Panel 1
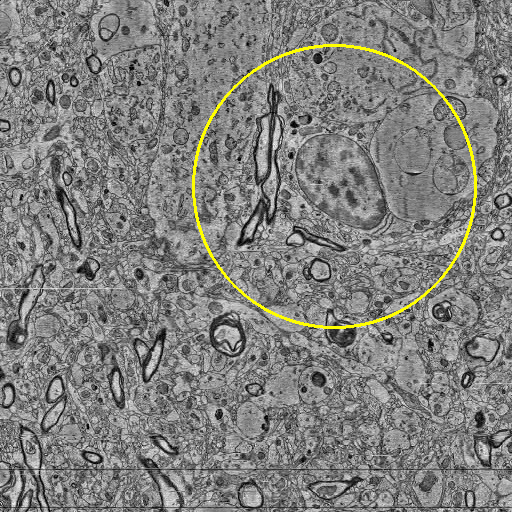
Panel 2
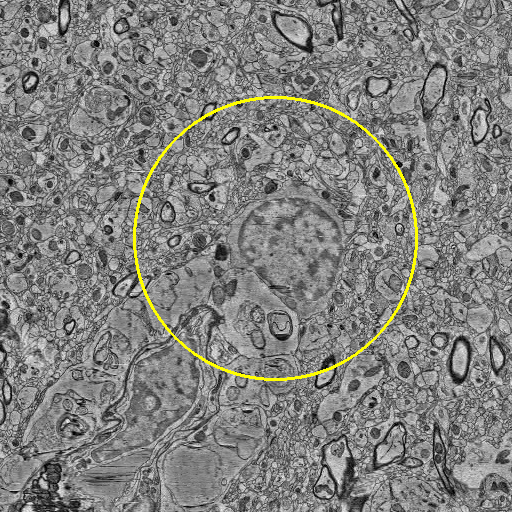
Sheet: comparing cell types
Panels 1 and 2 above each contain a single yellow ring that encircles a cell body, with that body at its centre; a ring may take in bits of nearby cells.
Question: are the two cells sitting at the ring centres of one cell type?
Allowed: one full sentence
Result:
No, the ring-centre cells in Panel 1 and Panel 2 are of two types.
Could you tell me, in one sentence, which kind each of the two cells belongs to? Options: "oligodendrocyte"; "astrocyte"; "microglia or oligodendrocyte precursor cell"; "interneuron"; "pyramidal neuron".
At the centre of the first ring sits a microglial cell or oligodendrocyte precursor cell, and at the centre of the second sits an oligodendrocyte.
